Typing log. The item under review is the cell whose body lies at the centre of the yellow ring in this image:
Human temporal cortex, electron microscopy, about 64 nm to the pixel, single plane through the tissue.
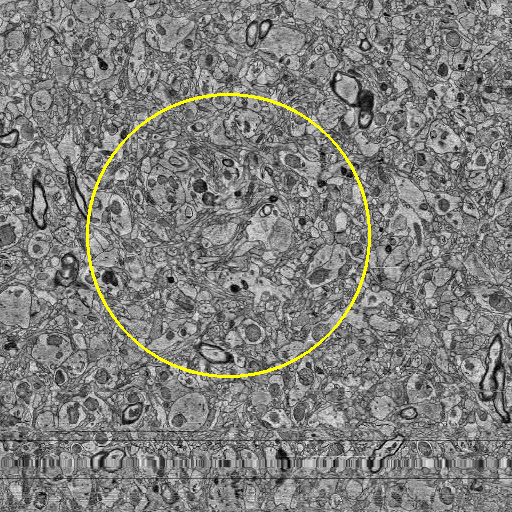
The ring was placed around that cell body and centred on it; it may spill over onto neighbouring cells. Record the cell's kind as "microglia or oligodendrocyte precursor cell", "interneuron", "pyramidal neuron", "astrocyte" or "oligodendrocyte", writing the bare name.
microglia or oligodendrocyte precursor cell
